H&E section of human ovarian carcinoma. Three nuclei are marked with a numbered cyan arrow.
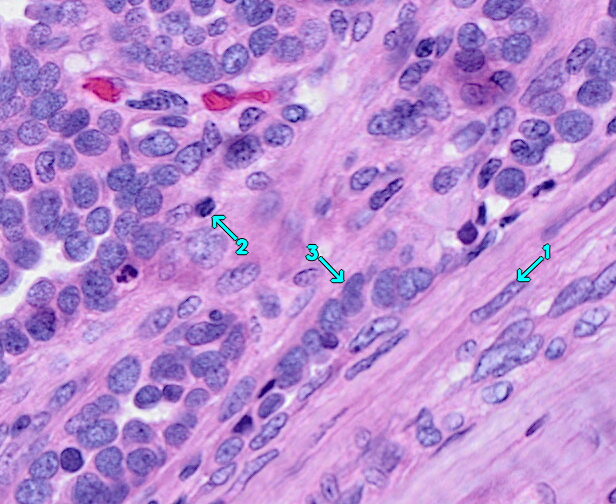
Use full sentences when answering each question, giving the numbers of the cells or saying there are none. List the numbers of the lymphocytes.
Only the cell at mark 2 is a lymphocyte, and no other marked cell is.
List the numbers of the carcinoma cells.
Of the numbered cells, only cell 3 is a carcinoma cell.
